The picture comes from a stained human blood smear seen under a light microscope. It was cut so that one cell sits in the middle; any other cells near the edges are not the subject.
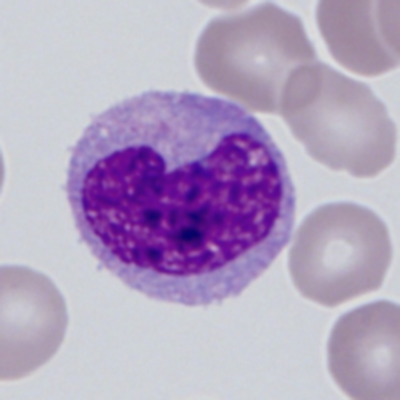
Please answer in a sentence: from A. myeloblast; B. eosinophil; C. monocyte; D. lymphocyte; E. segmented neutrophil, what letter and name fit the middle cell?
Option C is the correct one; it names the central cell as a monocyte.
